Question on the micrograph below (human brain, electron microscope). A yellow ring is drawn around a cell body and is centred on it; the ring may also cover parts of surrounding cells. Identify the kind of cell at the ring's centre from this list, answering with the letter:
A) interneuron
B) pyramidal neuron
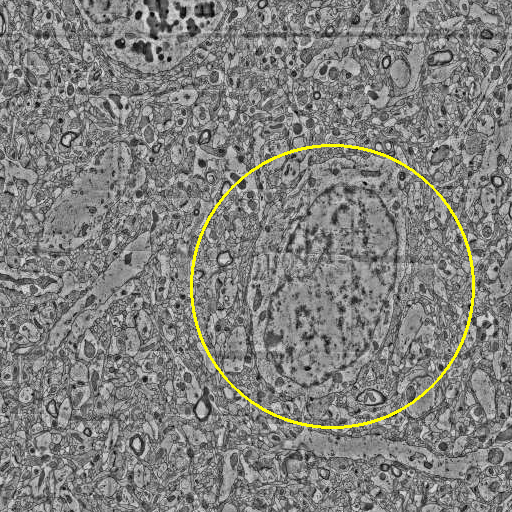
A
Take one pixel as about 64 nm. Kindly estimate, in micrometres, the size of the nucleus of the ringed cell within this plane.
In this plane the nucleus is roughly 13 by 7 micrometres, clearly longer than it is wide.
